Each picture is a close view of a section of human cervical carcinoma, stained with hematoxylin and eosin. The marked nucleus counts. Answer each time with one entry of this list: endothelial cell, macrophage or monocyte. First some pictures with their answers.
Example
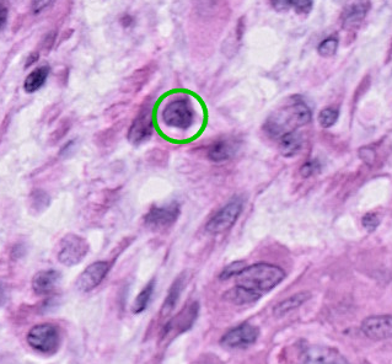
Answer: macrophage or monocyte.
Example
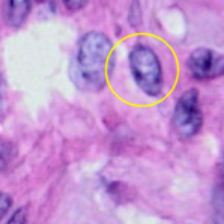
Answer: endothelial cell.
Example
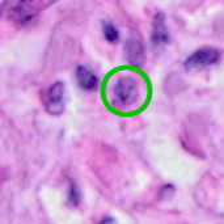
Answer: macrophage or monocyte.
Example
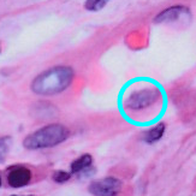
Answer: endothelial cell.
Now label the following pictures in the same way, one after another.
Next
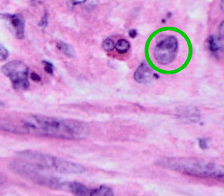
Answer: macrophage or monocyte.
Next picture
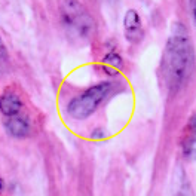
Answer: macrophage or monocyte.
